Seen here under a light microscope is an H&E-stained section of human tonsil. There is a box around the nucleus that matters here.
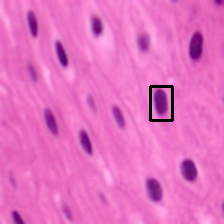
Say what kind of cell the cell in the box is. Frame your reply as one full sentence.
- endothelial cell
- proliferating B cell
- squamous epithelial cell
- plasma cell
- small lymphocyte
As for its identity, the cell in the box is a squamous epithelial cell.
